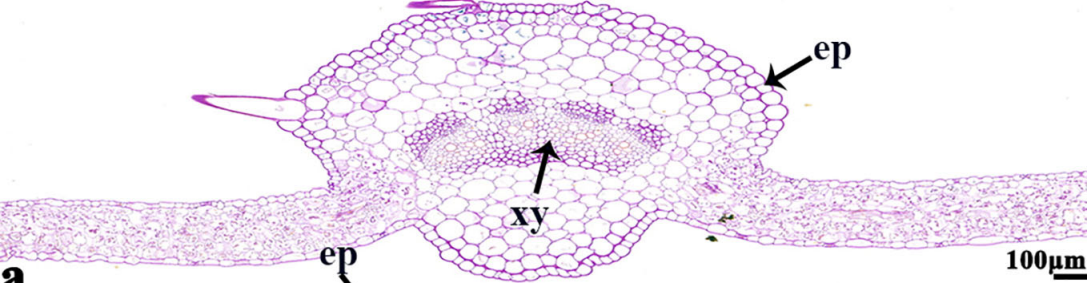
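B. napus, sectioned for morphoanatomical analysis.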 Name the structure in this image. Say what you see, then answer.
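A thin leaf blade runs out on both sides of a thick, bulging central ridge. The ridge holds a central bundle of small cells surrounded by large thin-walled cells. So: leaf vein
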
